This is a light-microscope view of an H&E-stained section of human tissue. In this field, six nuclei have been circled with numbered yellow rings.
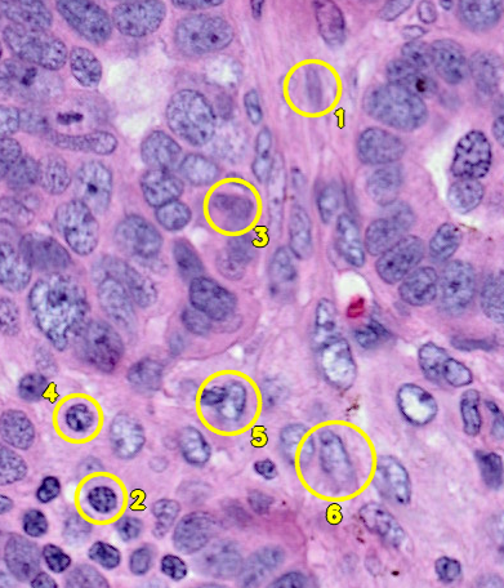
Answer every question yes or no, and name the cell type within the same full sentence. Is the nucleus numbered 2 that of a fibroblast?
No, cell 2, which is a lymphocyte, is not a fibroblast.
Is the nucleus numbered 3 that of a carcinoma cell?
Yes, the cell with the number 3 is a carcinoma cell.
